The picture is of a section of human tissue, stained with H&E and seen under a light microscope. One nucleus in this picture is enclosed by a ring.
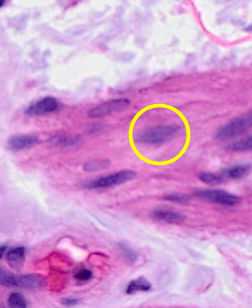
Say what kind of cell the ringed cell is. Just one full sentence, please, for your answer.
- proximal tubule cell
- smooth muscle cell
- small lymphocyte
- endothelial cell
What the ringed cell represents is a smooth muscle cell.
